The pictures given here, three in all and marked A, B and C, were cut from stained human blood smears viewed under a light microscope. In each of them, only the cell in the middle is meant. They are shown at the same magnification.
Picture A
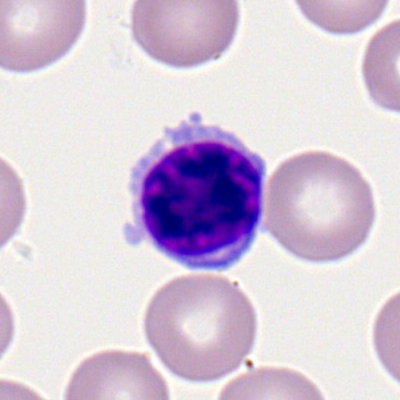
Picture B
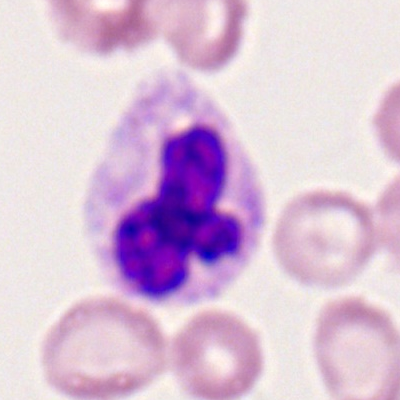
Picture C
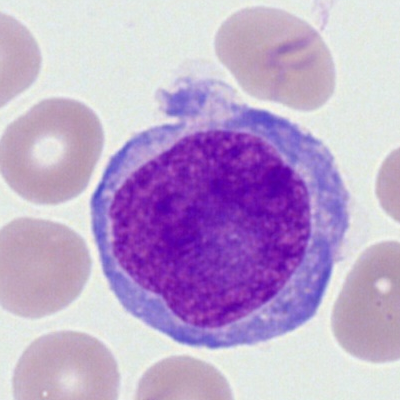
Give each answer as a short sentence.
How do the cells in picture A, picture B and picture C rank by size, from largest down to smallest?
The order is C, B, A, beginning with the largest.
